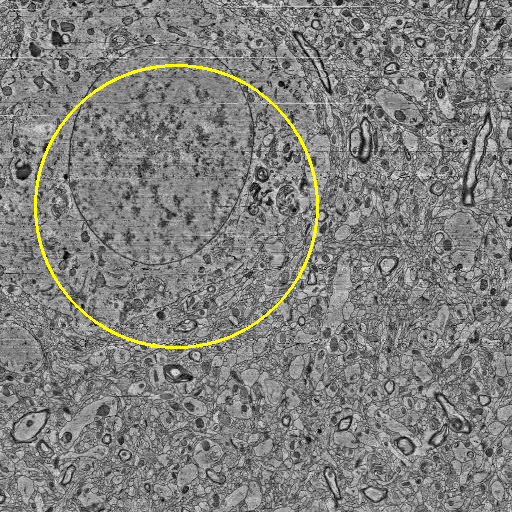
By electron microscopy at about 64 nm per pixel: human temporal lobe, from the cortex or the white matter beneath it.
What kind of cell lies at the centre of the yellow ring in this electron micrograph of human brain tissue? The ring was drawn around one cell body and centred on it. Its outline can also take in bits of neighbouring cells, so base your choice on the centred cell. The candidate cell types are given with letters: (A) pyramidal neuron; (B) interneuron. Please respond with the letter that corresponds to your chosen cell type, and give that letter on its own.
A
